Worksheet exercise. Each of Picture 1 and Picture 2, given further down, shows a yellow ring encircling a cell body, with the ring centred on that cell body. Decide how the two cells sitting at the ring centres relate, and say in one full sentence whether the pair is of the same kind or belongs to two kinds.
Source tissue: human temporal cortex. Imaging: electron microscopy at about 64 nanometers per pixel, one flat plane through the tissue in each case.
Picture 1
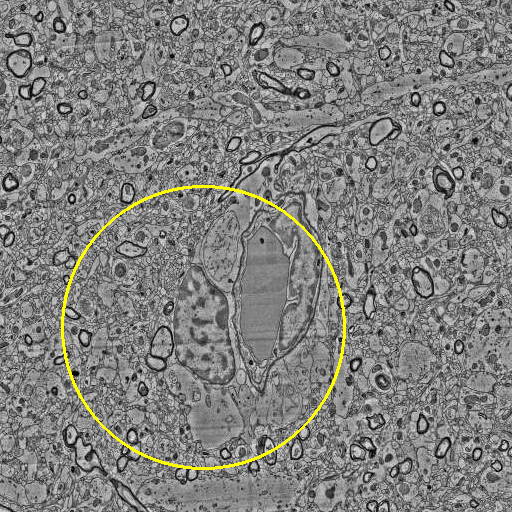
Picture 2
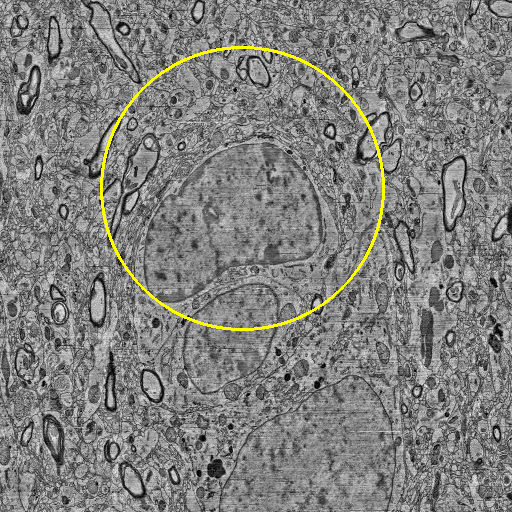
The cells at the ring centres in Picture 1 and Picture 2 are of the same kind.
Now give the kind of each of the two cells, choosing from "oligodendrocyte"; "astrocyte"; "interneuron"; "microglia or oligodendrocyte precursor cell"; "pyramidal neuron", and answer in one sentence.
Each of the ringed cells, first and second, is a microglial cell or oligodendrocyte precursor cell.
